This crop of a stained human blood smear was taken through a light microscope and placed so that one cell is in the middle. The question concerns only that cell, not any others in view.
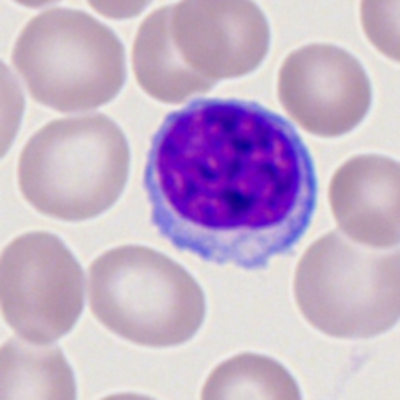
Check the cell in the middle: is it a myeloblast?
no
